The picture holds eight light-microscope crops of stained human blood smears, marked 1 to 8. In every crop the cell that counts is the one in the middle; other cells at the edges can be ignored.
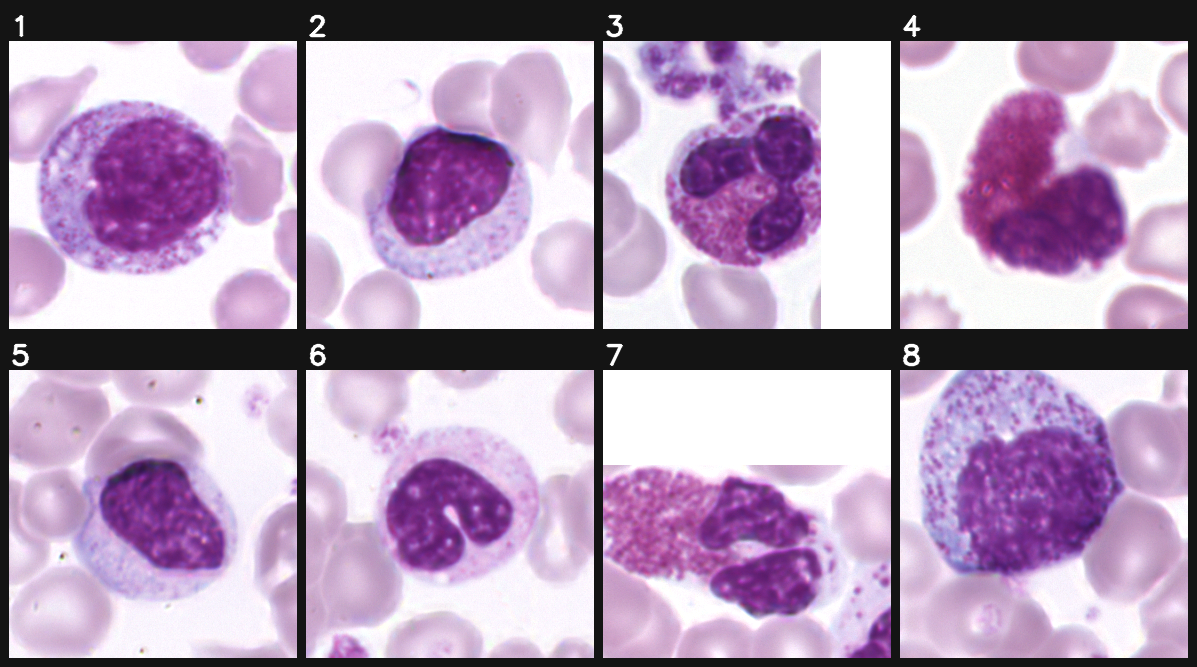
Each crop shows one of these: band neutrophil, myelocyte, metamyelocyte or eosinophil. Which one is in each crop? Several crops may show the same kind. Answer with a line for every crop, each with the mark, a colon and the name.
1: myelocyte
2: metamyelocyte
3: eosinophil
4: eosinophil
5: metamyelocyte
6: band neutrophil
7: eosinophil
8: myelocyte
